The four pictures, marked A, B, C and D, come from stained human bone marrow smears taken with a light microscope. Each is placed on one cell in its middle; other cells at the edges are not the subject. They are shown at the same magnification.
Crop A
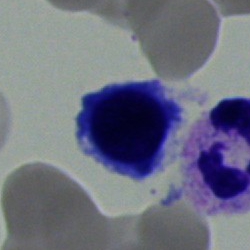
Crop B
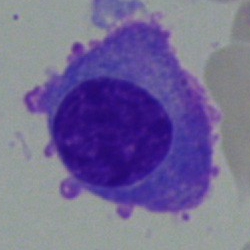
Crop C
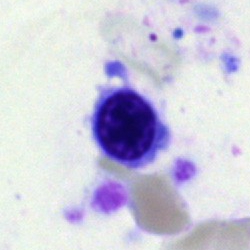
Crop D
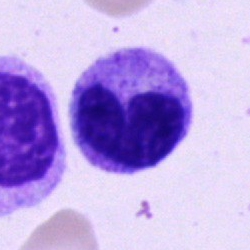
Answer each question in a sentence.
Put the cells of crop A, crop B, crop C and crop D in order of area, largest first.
Largest first: B, D, A, C.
